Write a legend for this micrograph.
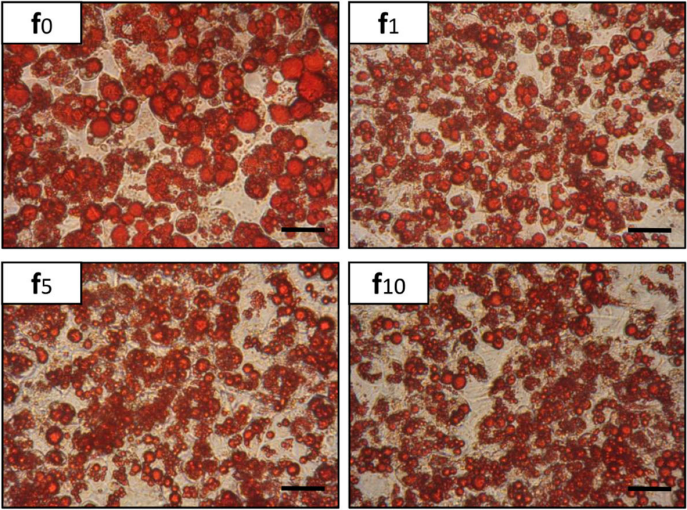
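Cultured adipocytes in four fields, their cytoplasm crowded with round lipid droplets stained bright red. The droplets range from fine specks to large spheres, many cells holding several droplets packed together so that the cell outline is lost among them. The red-filled cells gather in dense clusters and sheets. In one field the droplets are noticeably larger and more often single, large spheres; in the others smaller droplets predominate.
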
